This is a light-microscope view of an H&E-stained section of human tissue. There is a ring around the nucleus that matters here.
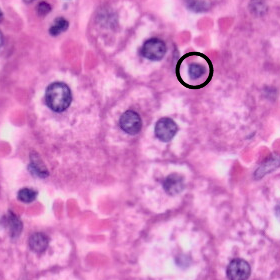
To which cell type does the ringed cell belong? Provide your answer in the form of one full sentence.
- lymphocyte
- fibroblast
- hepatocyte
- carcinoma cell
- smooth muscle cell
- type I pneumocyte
At the level of cell identity, the ringed cell is a lymphocyte.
